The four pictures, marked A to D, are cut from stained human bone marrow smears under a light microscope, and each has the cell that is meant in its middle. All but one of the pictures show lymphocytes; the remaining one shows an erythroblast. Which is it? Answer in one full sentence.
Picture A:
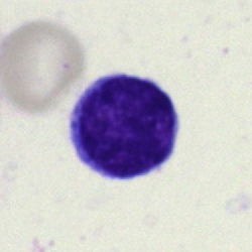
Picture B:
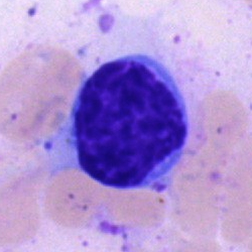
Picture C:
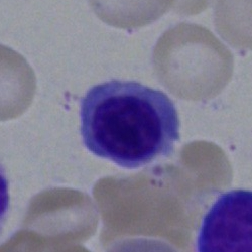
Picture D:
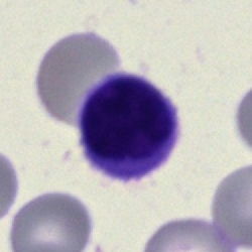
Picture C shows the erythroblast.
